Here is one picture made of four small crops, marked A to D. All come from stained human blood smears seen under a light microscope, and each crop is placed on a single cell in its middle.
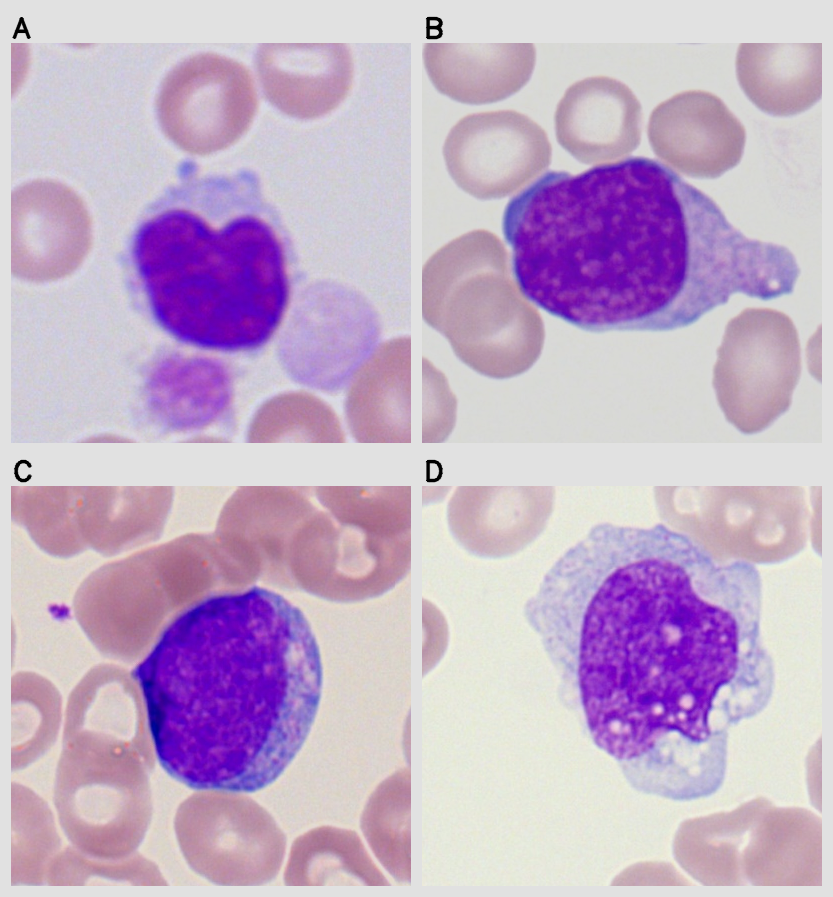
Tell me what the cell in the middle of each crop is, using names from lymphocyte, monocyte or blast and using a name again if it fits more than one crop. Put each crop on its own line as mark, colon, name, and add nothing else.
A: lymphocyte
B: blast
C: blast
D: monocyte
